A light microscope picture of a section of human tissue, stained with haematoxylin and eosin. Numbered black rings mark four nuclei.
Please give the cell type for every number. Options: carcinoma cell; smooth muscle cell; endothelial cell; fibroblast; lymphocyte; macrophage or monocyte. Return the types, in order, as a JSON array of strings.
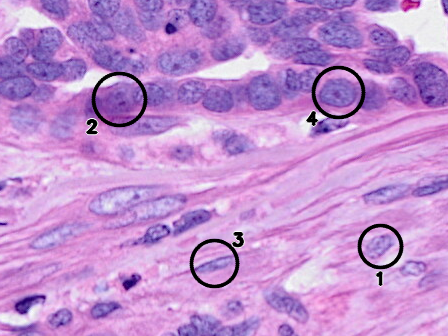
["fibroblast", "carcinoma cell", "fibroblast", "carcinoma cell"]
